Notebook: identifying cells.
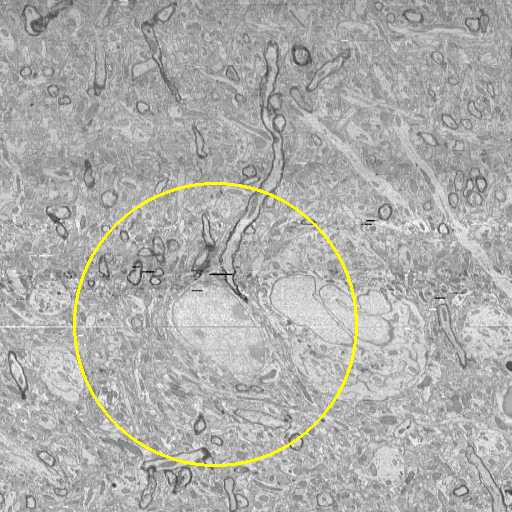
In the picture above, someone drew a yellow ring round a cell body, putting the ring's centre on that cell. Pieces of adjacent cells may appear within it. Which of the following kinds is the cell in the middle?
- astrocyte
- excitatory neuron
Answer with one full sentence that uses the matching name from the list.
In this picture, the yellow ring is centred on the body of an astrocyte.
